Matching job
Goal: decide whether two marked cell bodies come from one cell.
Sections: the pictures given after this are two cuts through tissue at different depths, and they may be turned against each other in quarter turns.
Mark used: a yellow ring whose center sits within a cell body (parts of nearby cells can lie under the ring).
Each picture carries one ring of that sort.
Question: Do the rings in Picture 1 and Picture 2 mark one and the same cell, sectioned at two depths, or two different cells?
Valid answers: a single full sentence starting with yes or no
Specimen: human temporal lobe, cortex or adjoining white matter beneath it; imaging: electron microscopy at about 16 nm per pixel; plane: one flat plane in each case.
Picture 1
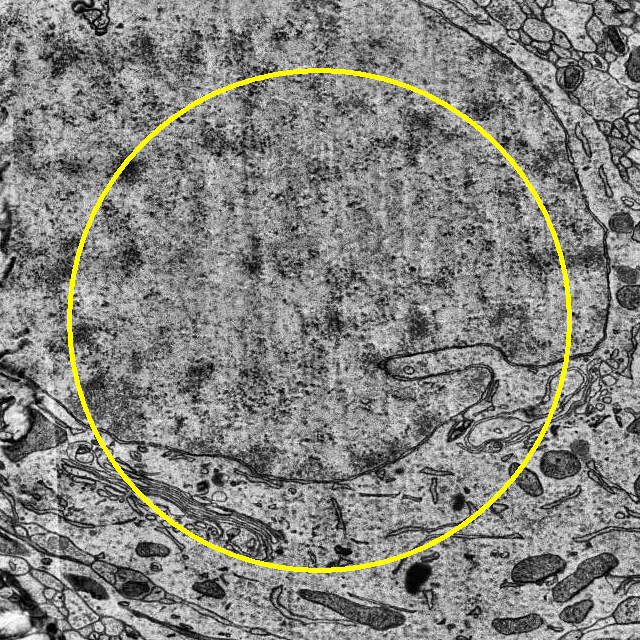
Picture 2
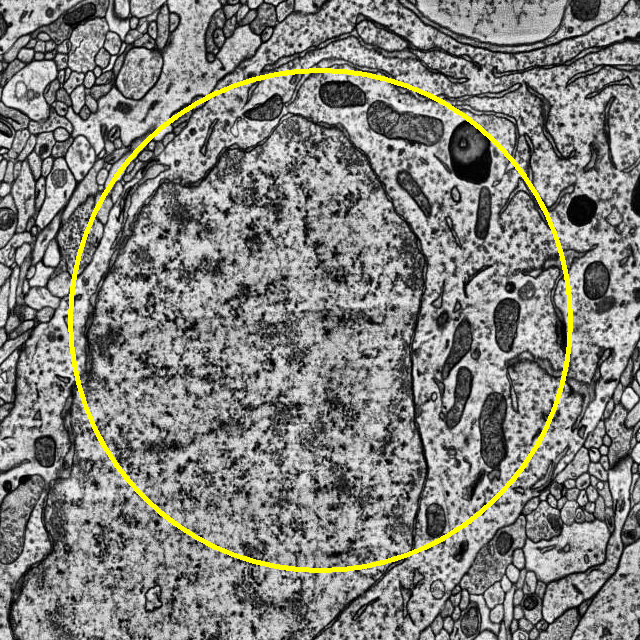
Yes, each ring singles out the same cell.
